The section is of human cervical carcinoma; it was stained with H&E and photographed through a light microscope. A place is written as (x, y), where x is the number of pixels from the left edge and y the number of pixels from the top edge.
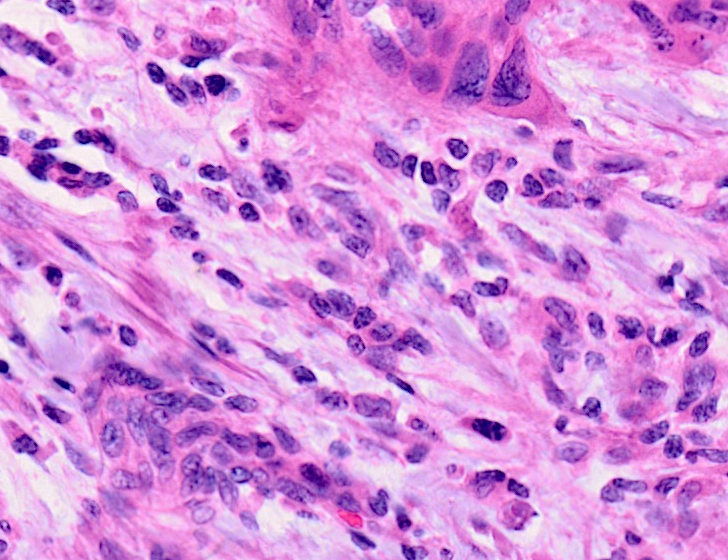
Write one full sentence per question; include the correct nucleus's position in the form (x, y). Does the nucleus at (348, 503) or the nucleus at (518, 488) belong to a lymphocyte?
The nucleus of a lymphocyte lies at (518, 488), not at the other position.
